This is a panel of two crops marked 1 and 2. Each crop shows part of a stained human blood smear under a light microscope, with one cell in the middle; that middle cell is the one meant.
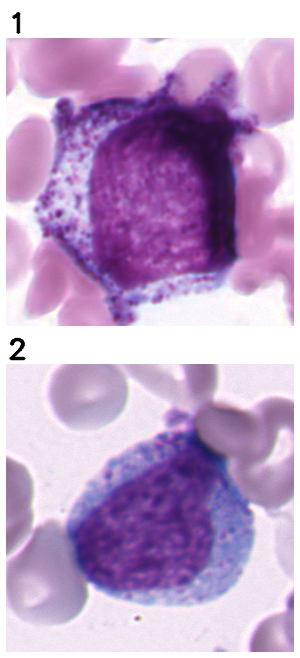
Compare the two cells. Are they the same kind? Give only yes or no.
yes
